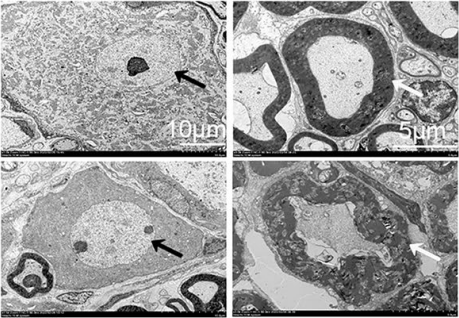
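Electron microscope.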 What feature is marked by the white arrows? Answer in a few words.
Myelin sheath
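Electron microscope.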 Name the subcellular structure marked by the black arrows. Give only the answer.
Neuron nucleus.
